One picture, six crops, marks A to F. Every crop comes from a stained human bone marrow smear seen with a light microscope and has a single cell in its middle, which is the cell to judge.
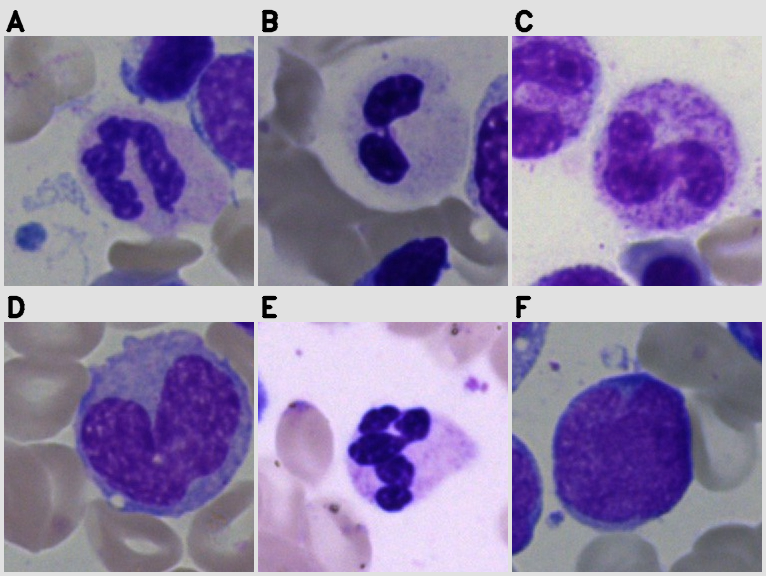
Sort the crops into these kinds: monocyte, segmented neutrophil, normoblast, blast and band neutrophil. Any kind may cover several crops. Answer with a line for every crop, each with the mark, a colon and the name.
A: segmented neutrophil
B: segmented neutrophil
C: segmented neutrophil
D: monocyte
E: segmented neutrophil
F: blast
